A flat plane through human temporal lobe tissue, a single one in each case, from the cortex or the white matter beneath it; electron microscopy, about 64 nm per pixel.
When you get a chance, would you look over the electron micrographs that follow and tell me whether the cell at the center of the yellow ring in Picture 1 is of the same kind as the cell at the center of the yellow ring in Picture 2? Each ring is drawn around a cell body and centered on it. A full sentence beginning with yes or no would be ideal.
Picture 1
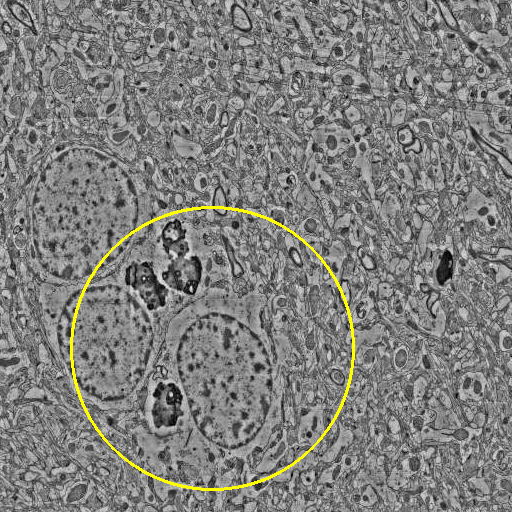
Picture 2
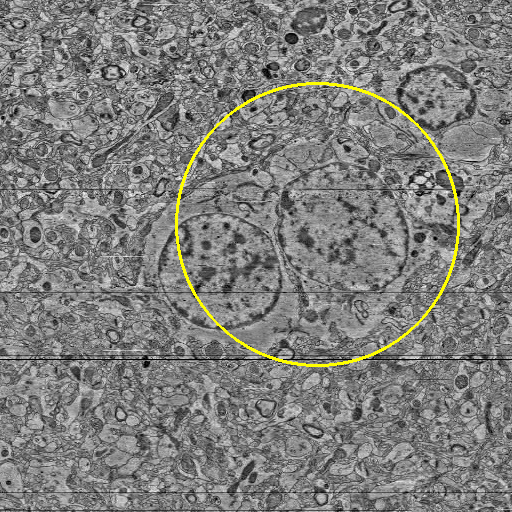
Yes, the two cells are of the same kind.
